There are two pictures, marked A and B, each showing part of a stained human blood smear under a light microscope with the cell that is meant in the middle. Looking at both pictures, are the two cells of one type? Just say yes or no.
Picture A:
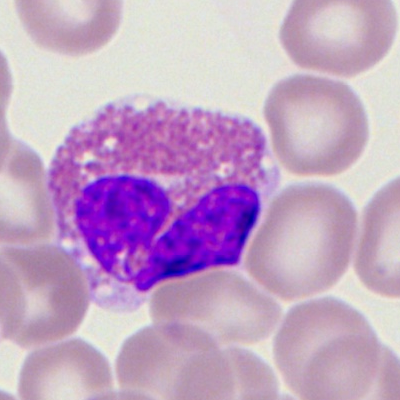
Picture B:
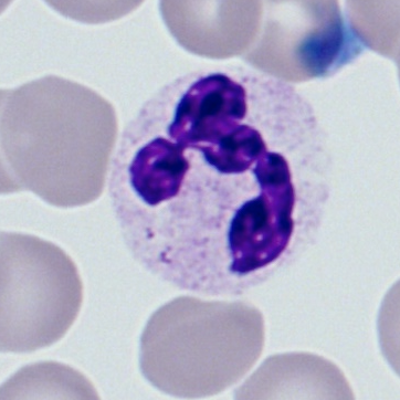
no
